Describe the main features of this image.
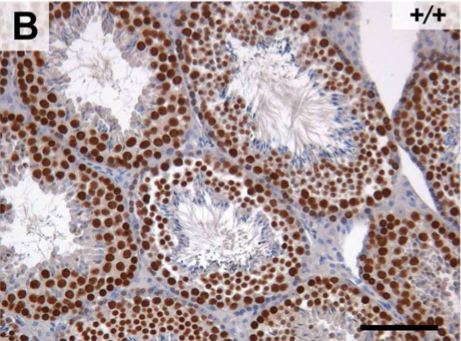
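Seminiferous tubules of the testis are shown in cross section, their epithelium packed with germ cells whose round nuclei stain brown. The germ cells are stacked in several layers from the basal edge toward the lumen. The lumens contain pale, wavy tail-like filaments directed toward the center. Between the tubules lies narrow interstitial tissue whose nuclei are counterstained blue and not brown.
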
